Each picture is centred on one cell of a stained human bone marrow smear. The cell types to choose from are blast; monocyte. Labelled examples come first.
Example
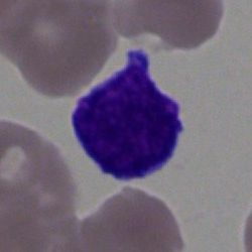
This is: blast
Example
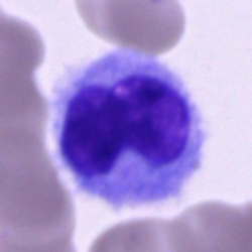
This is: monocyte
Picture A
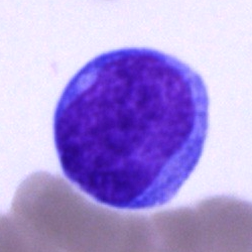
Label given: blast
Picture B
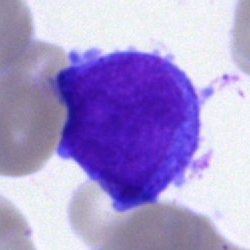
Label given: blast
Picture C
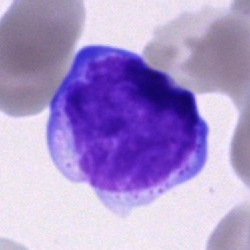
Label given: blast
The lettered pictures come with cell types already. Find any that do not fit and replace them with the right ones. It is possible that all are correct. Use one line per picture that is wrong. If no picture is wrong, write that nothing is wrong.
Every label is right.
